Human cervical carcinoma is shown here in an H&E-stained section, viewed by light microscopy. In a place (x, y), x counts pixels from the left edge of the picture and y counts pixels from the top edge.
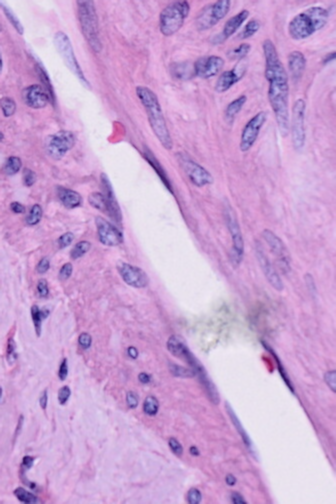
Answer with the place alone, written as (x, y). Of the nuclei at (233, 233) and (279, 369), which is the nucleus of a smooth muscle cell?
(233, 233)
